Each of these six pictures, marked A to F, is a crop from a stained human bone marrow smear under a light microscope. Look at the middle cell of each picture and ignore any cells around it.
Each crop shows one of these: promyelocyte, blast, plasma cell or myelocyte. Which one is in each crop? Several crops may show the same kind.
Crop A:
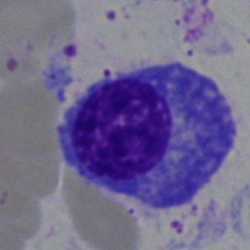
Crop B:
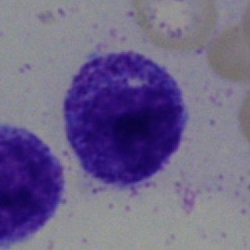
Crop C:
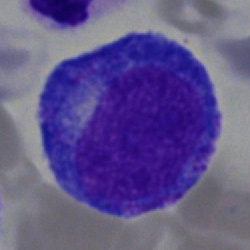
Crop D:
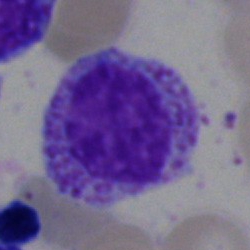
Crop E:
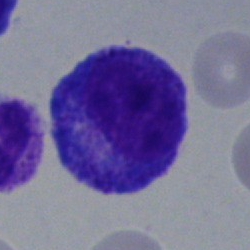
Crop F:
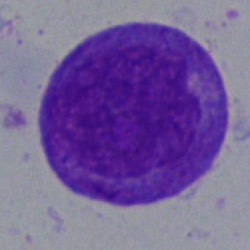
A: plasma cell
B: myelocyte
C: promyelocyte
D: myelocyte
E: promyelocyte
F: promyelocyte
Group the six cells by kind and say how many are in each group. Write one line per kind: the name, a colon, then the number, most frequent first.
promyelocyte: 3
myelocyte: 2
plasma cell: 1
